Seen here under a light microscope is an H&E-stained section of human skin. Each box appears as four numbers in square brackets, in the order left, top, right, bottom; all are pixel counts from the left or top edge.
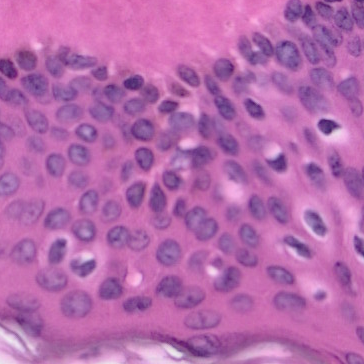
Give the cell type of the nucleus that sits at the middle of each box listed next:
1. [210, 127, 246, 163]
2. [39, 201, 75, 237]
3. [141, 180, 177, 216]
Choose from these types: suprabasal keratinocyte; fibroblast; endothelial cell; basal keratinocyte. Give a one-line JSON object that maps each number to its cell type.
{"1": "suprabasal keratinocyte", "2": "suprabasal keratinocyte", "3": "basal keratinocyte"}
